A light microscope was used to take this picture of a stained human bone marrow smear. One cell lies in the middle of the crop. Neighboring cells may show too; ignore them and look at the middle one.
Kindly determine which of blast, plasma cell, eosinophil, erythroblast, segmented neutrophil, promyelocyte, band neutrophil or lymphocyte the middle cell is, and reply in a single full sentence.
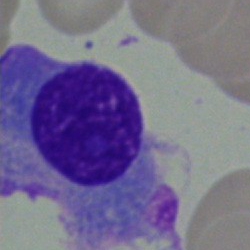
The cell at the middle of the frame should be recorded as a plasma cell.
